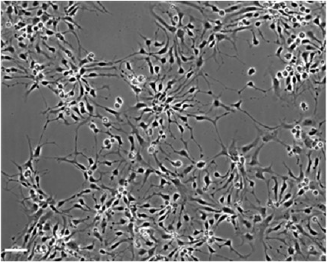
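Cultured cells seen by phase contrast, with bright-haloed, spindle-shaped to irregular cell bodies gathered in loose clusters. Many cells send out thin processes that run across the open background and link neighbouring clusters into a network, while some areas between clusters stay empty.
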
